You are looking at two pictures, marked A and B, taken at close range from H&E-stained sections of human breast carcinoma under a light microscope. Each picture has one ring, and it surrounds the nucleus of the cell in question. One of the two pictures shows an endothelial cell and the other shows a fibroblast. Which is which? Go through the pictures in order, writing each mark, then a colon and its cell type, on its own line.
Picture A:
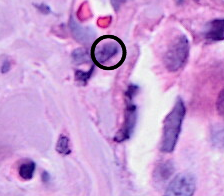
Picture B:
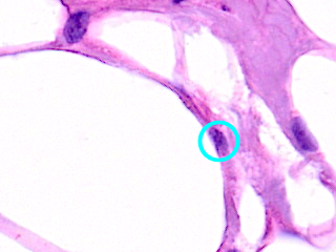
A: endothelial cell
B: fibroblast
